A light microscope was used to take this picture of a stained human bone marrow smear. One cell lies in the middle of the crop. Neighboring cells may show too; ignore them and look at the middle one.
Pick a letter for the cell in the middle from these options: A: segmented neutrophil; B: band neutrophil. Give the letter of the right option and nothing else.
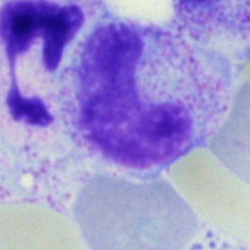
B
